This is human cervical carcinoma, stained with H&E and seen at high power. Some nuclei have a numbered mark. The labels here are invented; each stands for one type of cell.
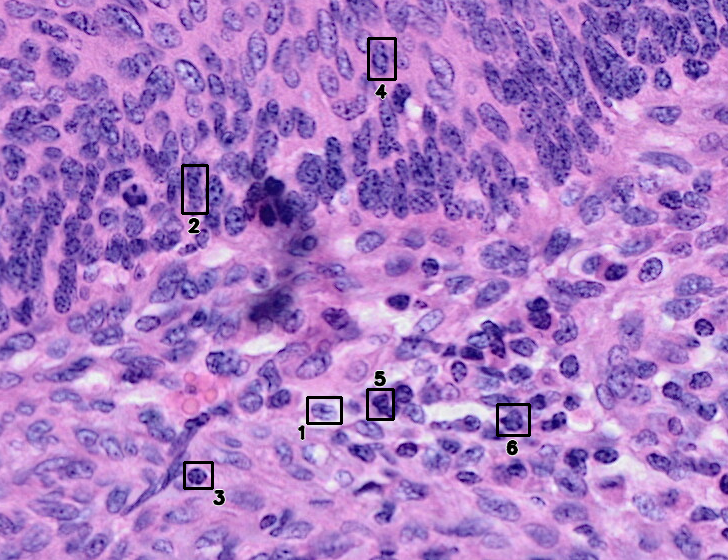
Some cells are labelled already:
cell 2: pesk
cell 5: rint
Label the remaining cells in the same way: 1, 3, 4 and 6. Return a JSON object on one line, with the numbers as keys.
{"1": "rint", "3": "rint", "4": "pesk", "6": "rint"}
